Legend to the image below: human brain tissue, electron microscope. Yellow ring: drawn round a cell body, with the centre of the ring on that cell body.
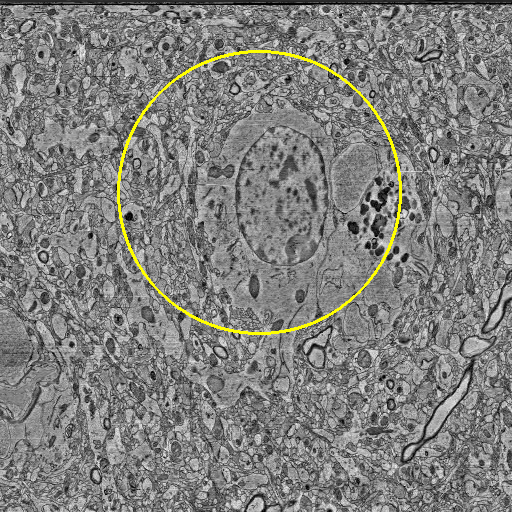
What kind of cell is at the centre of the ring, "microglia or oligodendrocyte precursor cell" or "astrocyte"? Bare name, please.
astrocyte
